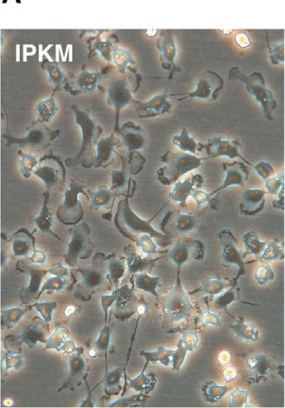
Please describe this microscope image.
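Scattered, loosely spaced cultured macrophages are seen, most flattened and spread with irregular, frilled borders, while a few are round and bright. Many cells send out short or long slender processes, giving stellate or spindle shapes, and the cells do not form sheets or contacts like an epithelium.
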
